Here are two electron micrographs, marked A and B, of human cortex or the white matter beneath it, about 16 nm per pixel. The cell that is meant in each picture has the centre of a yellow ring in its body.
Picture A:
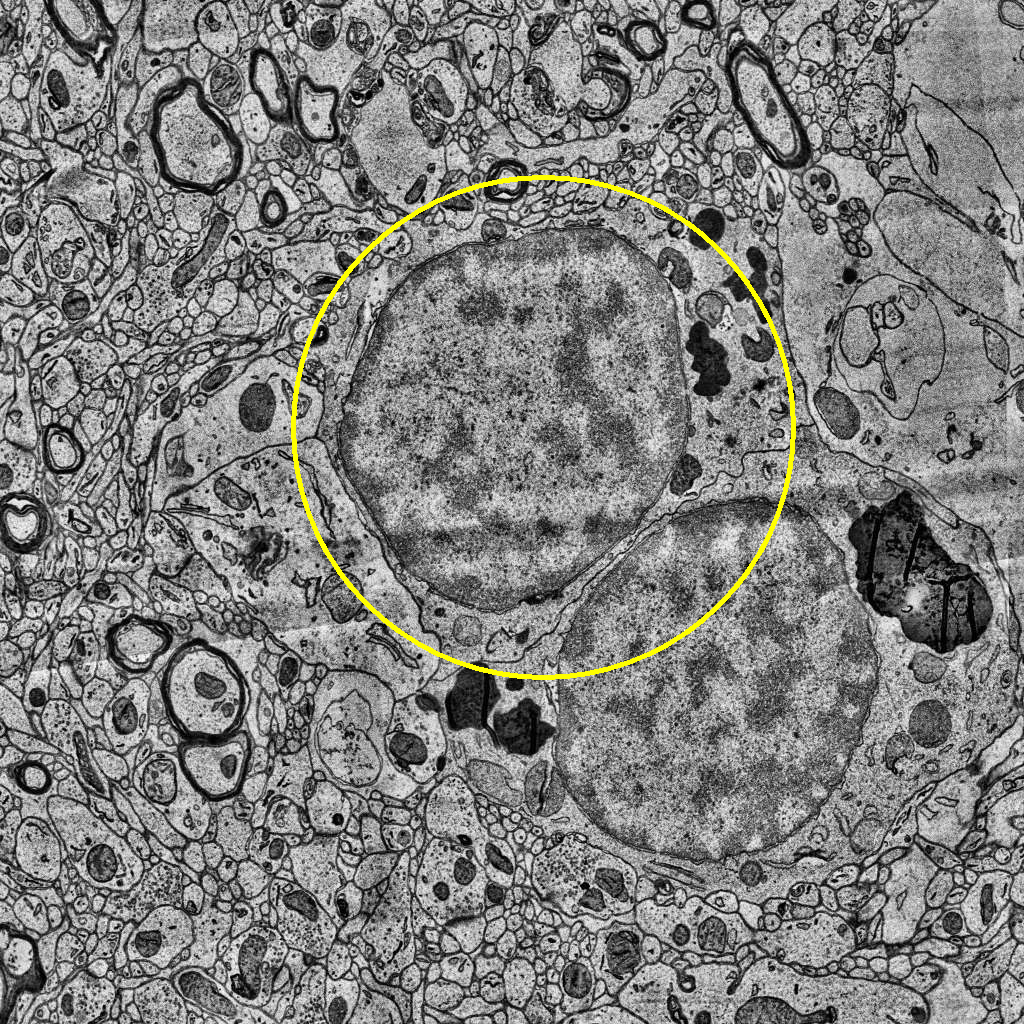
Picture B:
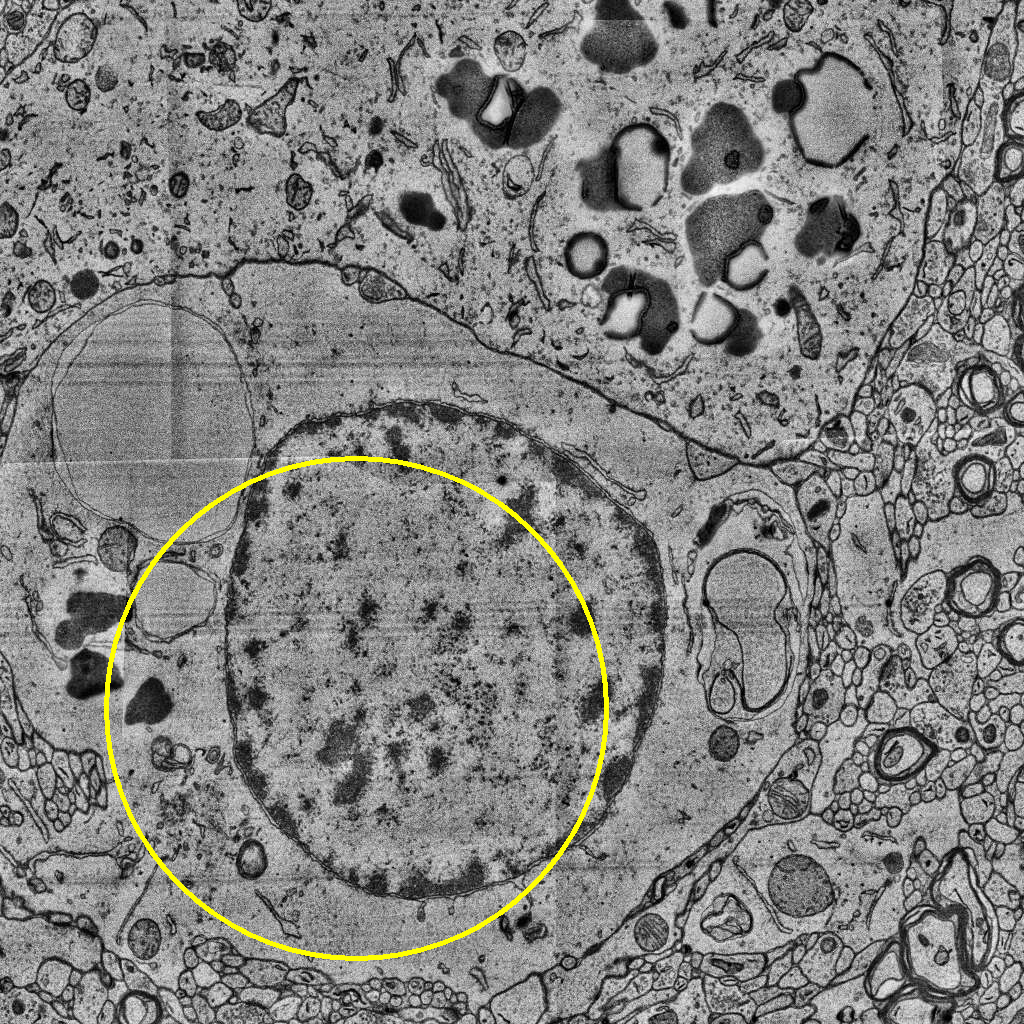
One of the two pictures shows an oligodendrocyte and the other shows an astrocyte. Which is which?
It is picture A that shows an oligodendrocyte, and picture B that shows an astrocyte.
